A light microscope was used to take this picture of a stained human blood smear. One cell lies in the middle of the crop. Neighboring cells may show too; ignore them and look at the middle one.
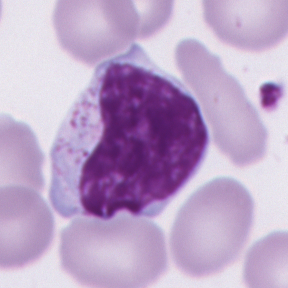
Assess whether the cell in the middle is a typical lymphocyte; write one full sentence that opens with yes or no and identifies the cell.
No, that is not a typical lymphocyte; the middle cell is a large granular lymphocyte.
